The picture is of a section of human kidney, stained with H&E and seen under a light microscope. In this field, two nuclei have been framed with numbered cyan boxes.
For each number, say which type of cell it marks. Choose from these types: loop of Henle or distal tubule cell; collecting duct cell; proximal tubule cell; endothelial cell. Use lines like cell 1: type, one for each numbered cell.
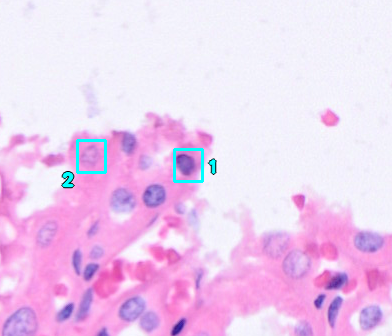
cell 1: loop of Henle or distal tubule cell
cell 2: proximal tubule cell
